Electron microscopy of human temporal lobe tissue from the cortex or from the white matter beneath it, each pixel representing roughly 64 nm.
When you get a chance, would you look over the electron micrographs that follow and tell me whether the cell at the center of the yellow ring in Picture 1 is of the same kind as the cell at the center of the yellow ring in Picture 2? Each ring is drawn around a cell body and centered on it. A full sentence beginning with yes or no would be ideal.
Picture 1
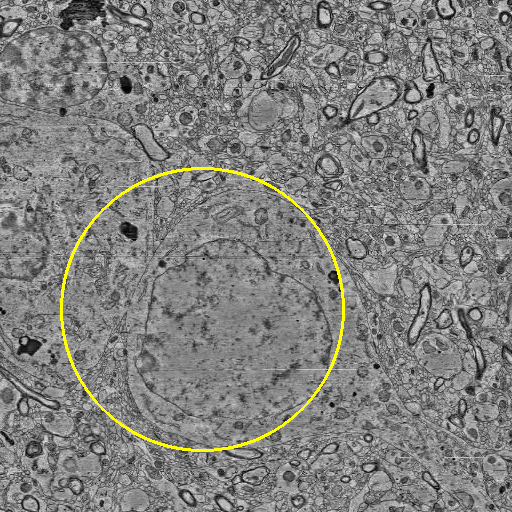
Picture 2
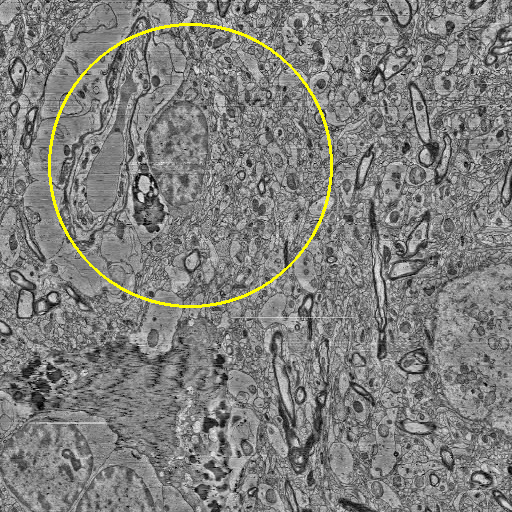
No, they are two kinds of cell.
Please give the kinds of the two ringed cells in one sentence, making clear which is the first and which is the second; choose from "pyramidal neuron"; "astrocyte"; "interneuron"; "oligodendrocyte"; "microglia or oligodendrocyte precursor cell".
In the second picture the ringed cell is an oligodendrocyte; in the first it is a pyramidal neuron.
